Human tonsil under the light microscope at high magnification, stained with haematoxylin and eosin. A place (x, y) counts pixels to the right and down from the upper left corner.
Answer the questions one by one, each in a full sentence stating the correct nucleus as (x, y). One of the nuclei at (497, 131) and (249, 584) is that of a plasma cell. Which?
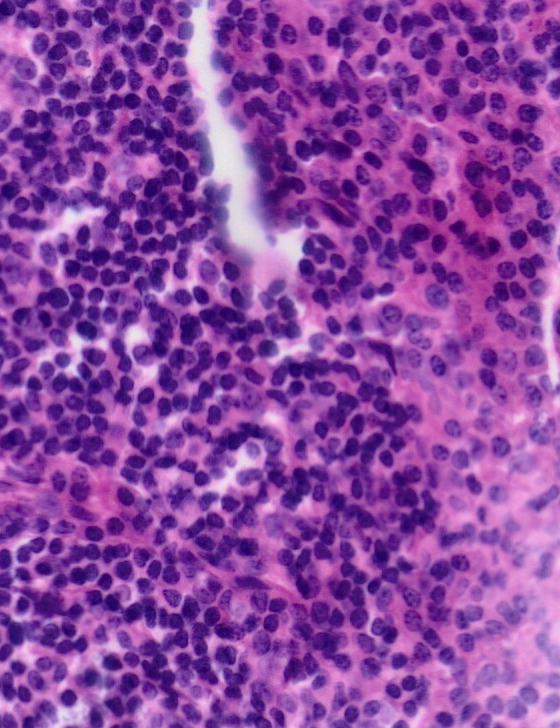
Identified as belonging to a plasma cell is the nucleus at (497, 131).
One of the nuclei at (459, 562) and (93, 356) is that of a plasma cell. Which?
The nucleus located at (459, 562) is the one held within a plasma cell.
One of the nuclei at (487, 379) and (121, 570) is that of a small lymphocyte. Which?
Of these two nuclei, only the one at (121, 570) belongs to a small lymphocyte.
